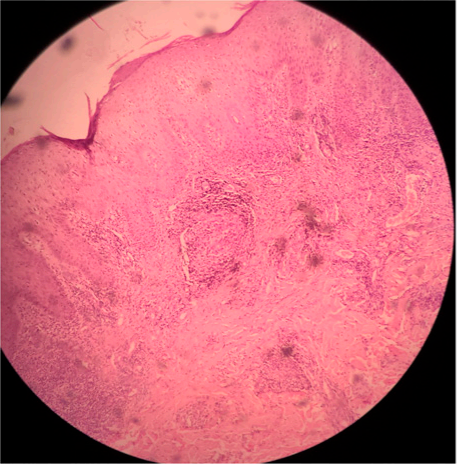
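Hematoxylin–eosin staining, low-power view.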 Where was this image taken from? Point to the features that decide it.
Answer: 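Dermis. A stratified squamous epithelium runs along the upper left edge. The nodules lie in the connective tissue below the epithelium.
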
